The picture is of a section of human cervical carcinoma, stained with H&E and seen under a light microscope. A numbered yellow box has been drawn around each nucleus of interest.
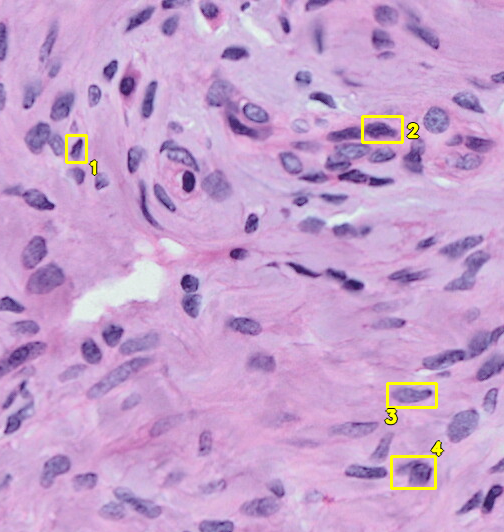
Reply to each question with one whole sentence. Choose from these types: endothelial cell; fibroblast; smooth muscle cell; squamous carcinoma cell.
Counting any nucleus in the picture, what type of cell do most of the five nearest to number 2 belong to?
Around number 2, most of the five nearest nuclei are those of smooth muscle cells.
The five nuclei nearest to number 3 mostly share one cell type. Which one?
The majority of the five nuclei closest to number 3 belong to fibroblasts.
